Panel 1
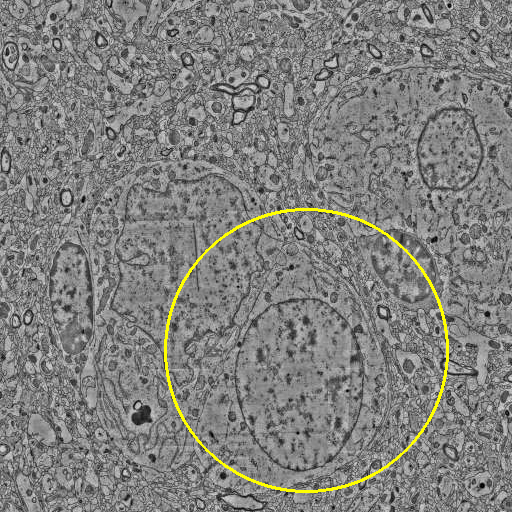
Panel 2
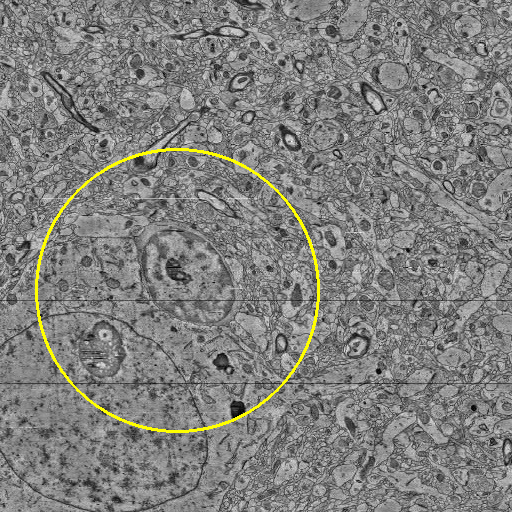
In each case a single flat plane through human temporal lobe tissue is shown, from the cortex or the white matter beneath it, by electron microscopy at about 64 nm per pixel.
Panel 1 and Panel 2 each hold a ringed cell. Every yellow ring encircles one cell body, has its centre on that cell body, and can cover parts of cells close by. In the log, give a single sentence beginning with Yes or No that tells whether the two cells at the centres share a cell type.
No, in Panel 1 and Panel 2 the centred cells are of two cell types.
